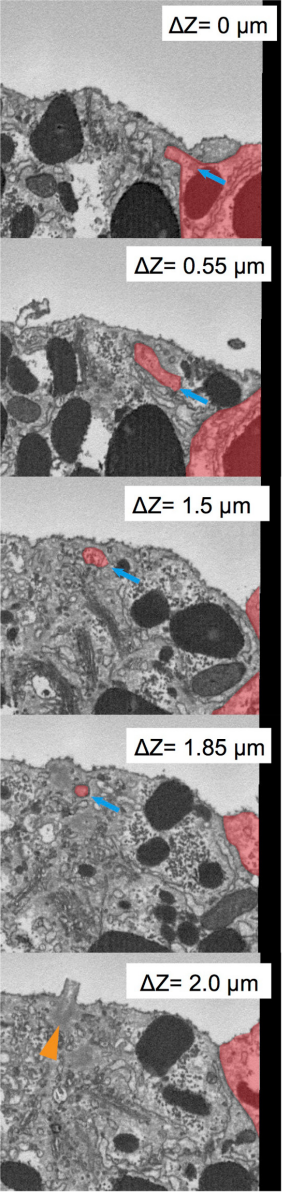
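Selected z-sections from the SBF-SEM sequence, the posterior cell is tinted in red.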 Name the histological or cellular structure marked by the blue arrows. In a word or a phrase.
invagination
